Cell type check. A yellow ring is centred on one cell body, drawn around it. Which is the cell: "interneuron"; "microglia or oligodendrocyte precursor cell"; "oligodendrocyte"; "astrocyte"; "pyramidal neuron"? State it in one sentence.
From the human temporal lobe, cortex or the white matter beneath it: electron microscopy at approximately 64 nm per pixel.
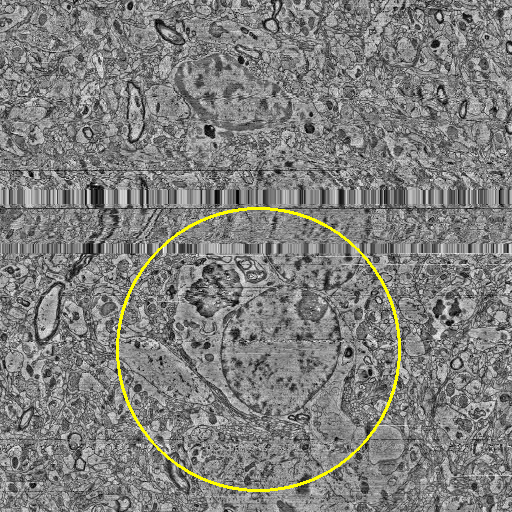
The cell body at the ring's centre belongs to an astrocyte.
